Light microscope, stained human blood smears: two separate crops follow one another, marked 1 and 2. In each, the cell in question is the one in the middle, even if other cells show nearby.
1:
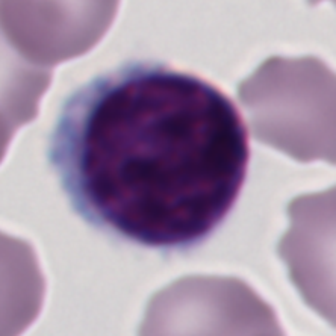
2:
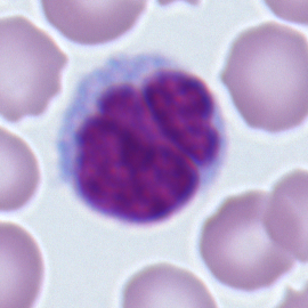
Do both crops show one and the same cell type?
yes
